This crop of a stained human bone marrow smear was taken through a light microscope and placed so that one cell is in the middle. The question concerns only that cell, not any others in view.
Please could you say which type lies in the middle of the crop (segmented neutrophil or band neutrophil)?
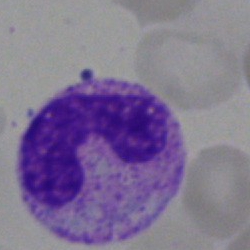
band neutrophil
